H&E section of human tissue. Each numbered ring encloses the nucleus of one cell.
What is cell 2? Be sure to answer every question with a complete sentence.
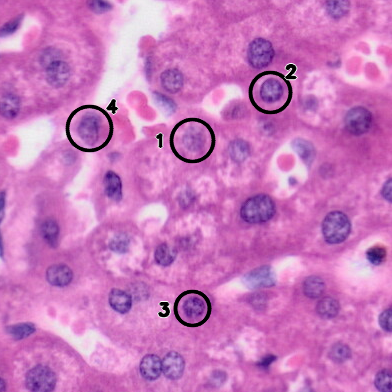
Cell 2 is classified as a hepatocyte.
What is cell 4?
The cell referred to as 4 is a Kupffer cell.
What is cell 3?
The expected answer is that cell 3 is a hepatocyte.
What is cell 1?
Cell 1, as marked in the section, is a hepatocyte.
